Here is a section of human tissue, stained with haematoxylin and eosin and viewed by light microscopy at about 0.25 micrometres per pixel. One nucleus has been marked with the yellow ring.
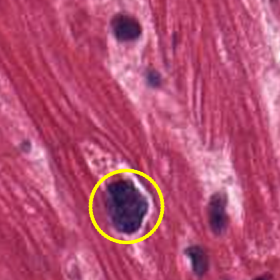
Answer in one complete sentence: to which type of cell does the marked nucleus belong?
The marked nucleus forms part of a cardiomyocyte.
